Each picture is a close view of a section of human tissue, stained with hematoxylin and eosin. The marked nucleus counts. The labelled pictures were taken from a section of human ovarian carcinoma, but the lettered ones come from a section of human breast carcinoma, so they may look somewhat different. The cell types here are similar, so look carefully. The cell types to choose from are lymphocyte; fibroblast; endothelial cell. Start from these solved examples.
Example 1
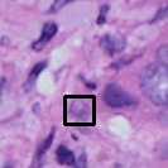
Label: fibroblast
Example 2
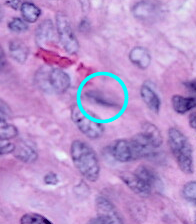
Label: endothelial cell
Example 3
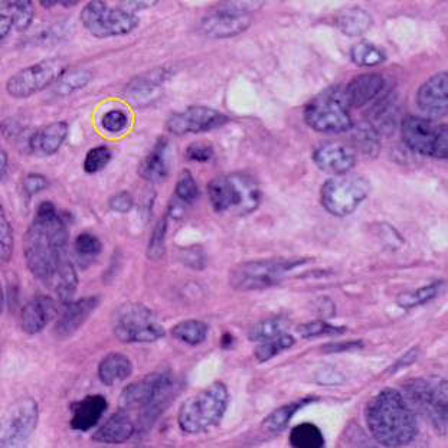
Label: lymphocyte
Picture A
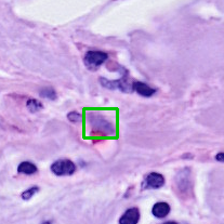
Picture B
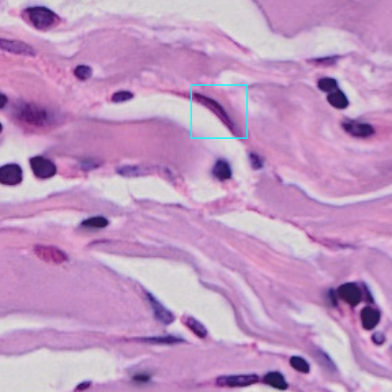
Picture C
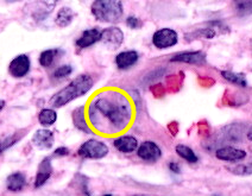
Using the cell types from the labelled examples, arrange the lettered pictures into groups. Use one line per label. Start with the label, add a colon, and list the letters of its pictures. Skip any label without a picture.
fibroblast: B
endothelial cell: A, C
